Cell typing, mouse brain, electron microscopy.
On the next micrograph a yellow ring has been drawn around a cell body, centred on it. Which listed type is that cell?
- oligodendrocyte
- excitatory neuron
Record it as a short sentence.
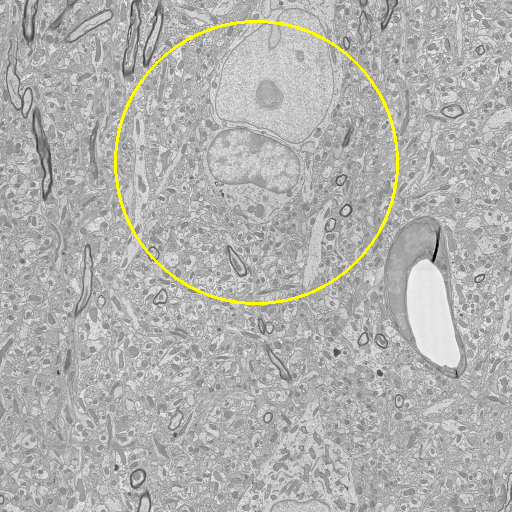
The cell body in the ring's centre belongs to an oligodendrocyte.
